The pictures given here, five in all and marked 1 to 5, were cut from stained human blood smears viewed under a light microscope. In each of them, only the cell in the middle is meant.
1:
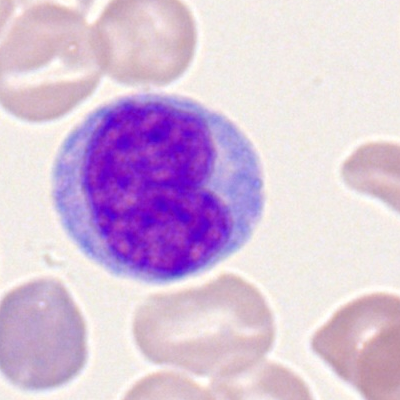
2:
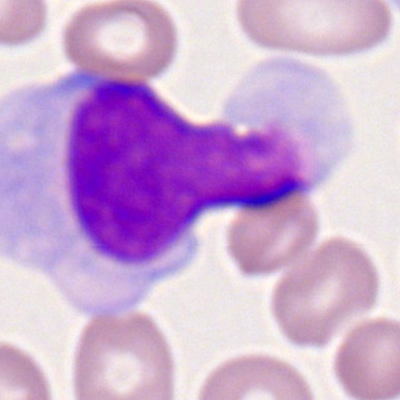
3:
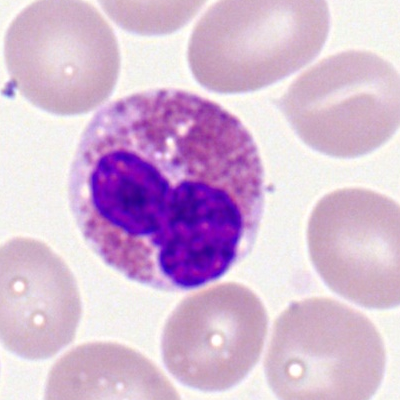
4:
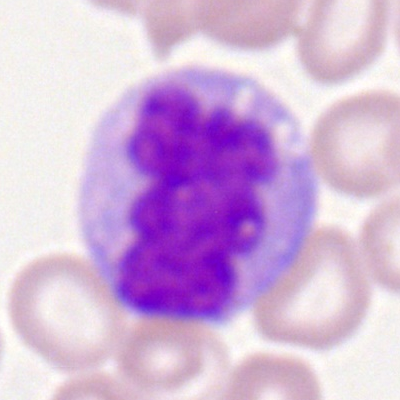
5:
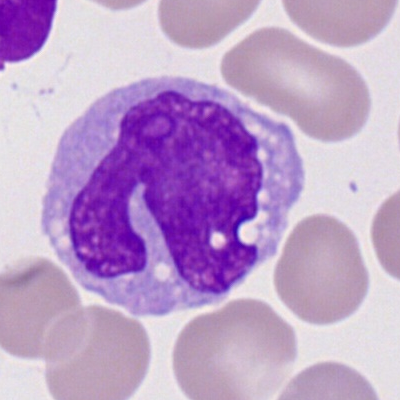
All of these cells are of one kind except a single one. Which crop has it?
3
